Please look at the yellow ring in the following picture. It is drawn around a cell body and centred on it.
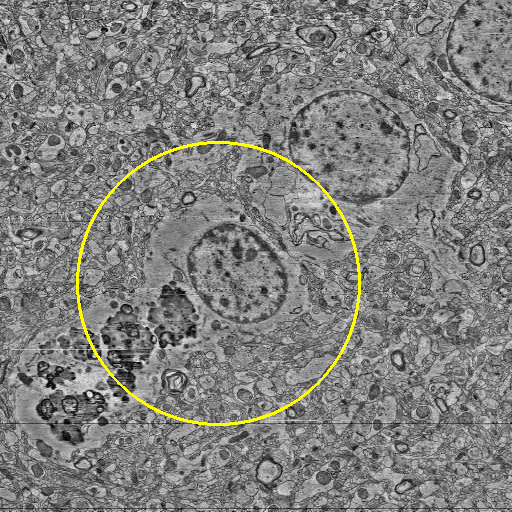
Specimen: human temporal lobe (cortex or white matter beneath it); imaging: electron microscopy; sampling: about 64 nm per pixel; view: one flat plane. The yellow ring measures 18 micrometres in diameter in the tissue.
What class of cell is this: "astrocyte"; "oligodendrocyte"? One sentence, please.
The ring surrounds the cell body of an astrocyte.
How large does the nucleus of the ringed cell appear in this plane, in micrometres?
About 7 by 6 micrometers, in this plane.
